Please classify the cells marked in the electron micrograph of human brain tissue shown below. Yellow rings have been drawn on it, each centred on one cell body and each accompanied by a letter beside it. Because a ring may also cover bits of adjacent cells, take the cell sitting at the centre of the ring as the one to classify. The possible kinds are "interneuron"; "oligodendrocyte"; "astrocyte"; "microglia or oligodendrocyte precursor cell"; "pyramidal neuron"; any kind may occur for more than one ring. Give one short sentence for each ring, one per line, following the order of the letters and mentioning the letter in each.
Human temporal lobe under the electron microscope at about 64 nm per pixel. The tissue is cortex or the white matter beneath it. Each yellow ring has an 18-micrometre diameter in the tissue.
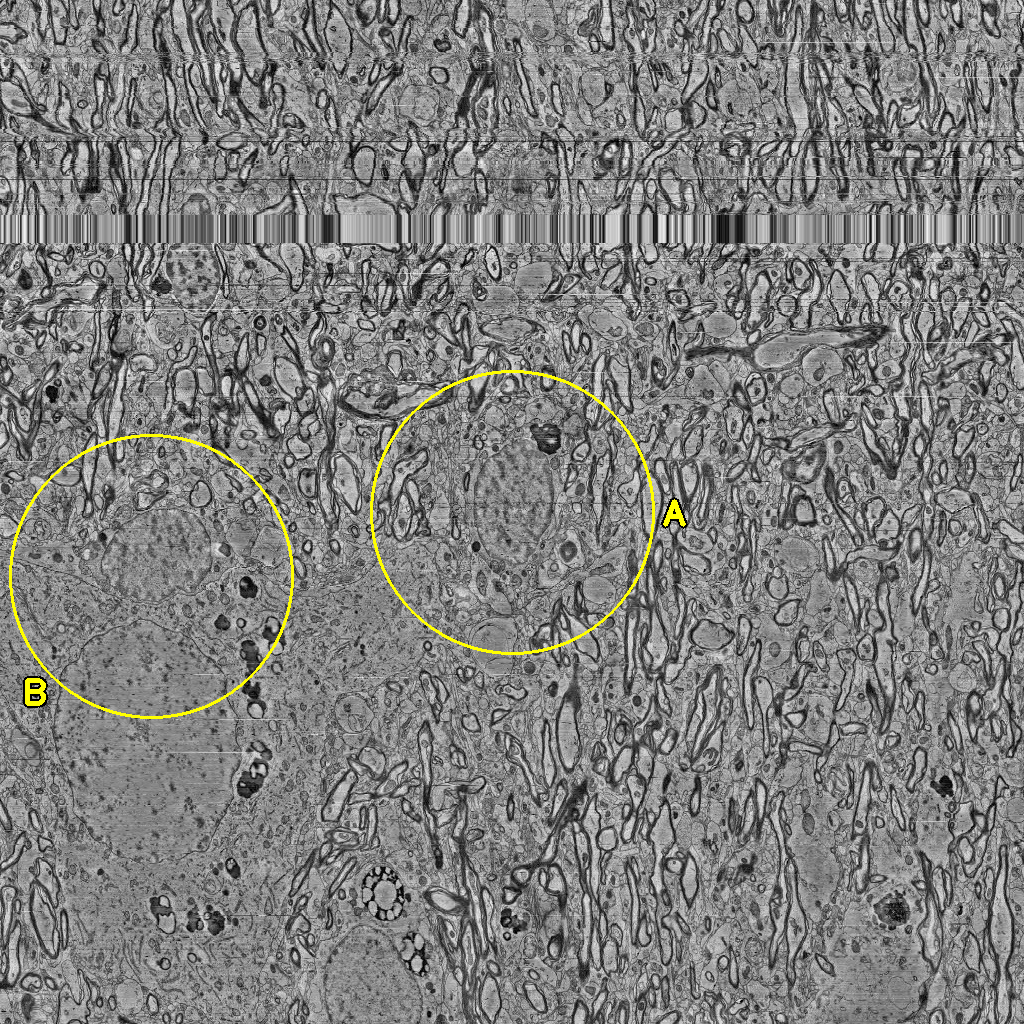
Ring A marks the cell body of an oligodendrocyte.
Ring B marks the cell body of an oligodendrocyte.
